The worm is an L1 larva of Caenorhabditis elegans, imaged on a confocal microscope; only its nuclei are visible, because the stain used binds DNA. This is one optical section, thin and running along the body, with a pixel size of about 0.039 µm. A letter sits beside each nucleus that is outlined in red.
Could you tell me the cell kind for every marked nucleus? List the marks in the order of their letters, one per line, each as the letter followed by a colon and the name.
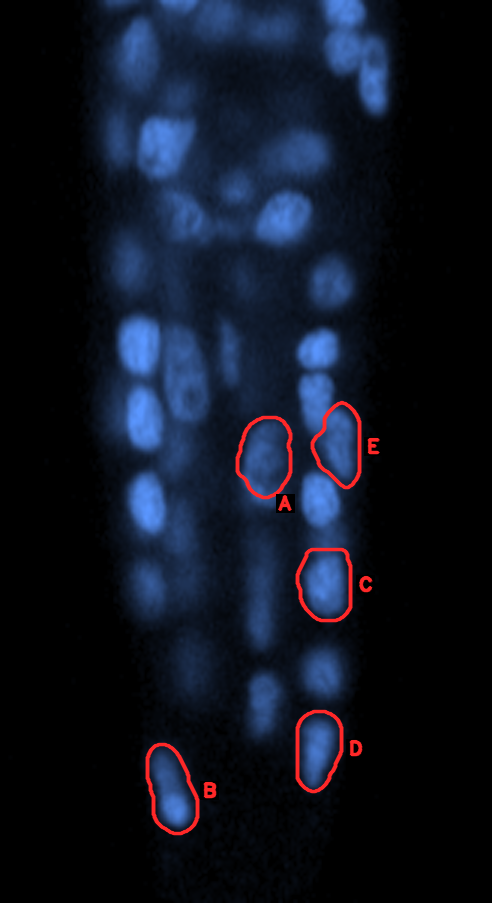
A: pharyngeal muscle cell
B: hypodermal cell (hyp)
C: arcade cell
D: hypodermal cell (hyp)
E: hypodermal cell (hyp)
